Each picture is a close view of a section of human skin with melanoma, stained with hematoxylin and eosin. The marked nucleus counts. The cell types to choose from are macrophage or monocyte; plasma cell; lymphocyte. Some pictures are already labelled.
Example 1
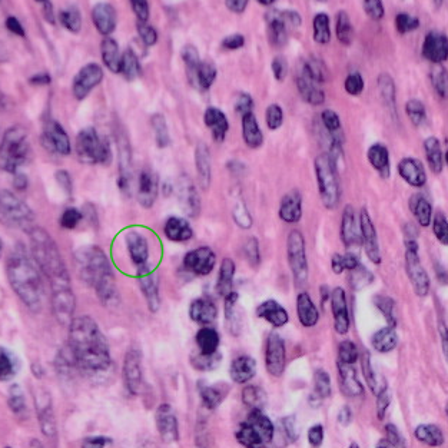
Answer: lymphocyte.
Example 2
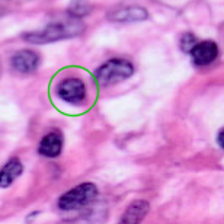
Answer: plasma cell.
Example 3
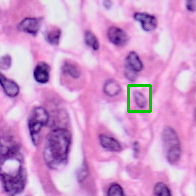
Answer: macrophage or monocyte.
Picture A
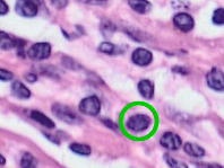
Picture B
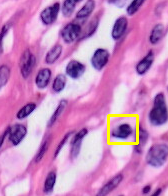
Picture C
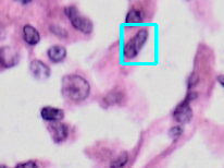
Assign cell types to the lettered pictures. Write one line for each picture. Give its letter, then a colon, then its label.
A: lymphocyte.
B: lymphocyte.
C: macrophage or monocyte.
